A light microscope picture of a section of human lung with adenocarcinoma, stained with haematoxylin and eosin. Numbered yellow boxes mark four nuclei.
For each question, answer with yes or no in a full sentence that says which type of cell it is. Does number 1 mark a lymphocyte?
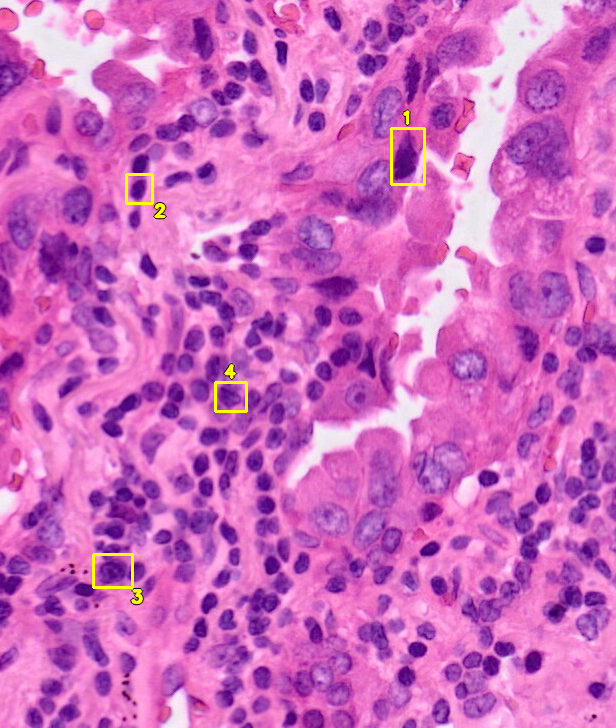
No. Cell number 1 is a carcinoma cell, not a lymphocyte.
